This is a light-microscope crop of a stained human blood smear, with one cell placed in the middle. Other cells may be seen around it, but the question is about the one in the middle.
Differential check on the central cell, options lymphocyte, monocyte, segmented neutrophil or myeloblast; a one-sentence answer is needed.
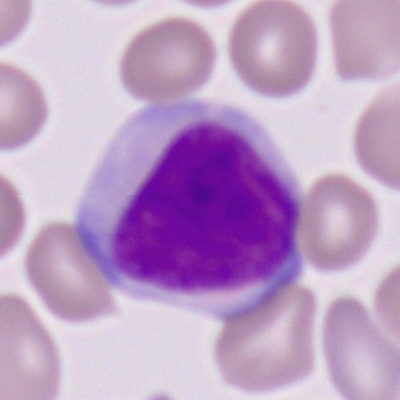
In the center of this field lies a myeloblast.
